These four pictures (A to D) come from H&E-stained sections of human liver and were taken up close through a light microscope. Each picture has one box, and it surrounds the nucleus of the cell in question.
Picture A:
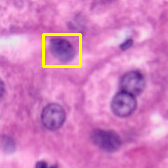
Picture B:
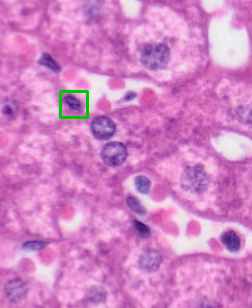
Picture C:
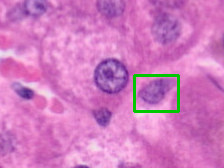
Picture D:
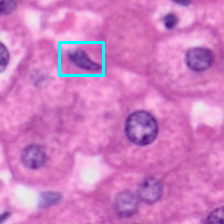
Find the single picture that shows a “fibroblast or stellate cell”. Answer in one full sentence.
The cell in picture D is the “fibroblast or stellate cell”.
